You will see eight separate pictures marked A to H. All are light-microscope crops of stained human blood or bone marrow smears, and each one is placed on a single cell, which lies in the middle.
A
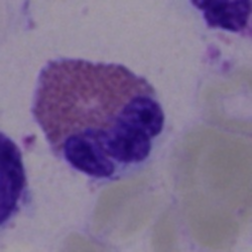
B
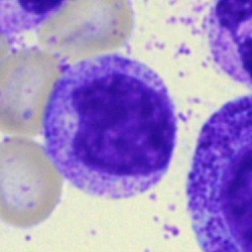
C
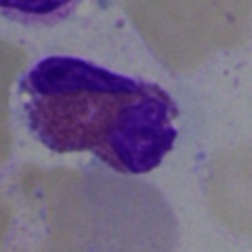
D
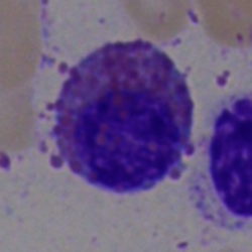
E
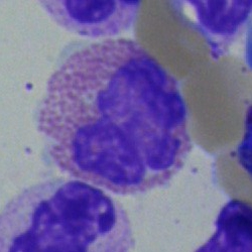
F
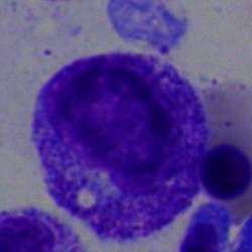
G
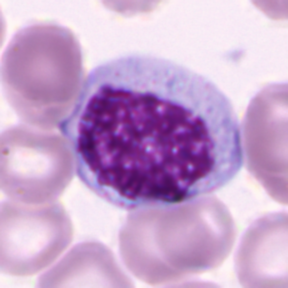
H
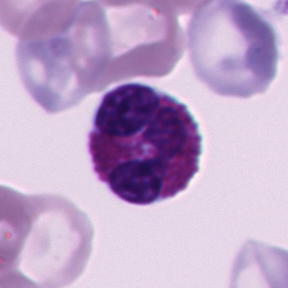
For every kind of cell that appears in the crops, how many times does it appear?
eosinophil: 5
myelocyte: 3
